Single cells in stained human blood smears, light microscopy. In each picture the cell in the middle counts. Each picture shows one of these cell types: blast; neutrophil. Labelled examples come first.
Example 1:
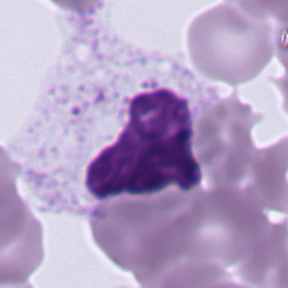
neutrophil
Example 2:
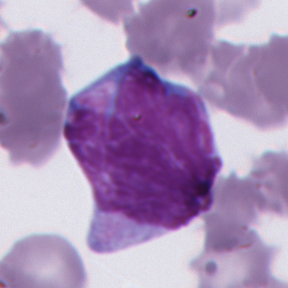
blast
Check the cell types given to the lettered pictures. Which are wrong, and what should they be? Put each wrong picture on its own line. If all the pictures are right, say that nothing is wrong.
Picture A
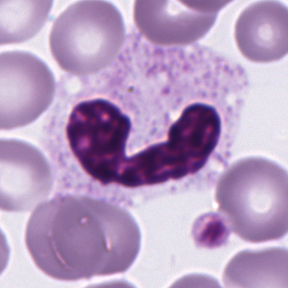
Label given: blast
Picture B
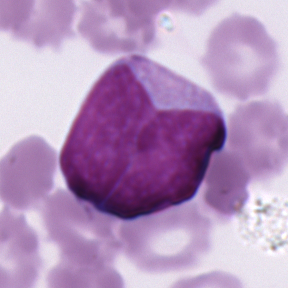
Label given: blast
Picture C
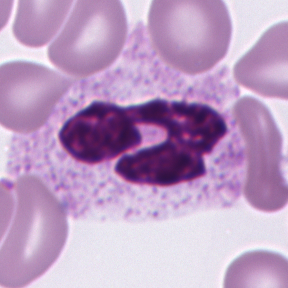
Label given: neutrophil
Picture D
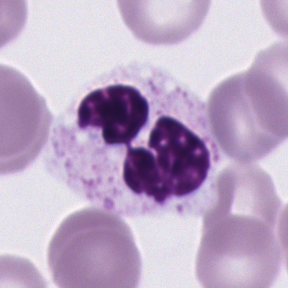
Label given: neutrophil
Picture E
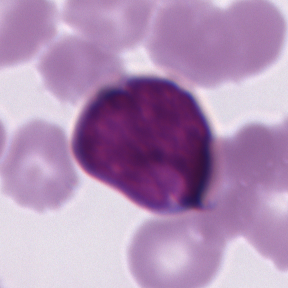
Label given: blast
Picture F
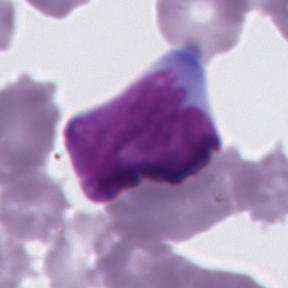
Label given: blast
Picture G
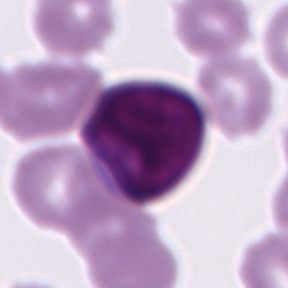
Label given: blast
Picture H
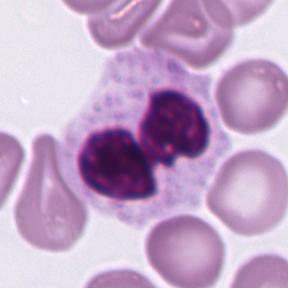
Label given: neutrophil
A: change blast to neutrophil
